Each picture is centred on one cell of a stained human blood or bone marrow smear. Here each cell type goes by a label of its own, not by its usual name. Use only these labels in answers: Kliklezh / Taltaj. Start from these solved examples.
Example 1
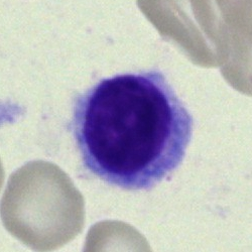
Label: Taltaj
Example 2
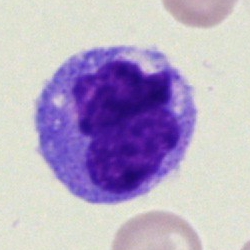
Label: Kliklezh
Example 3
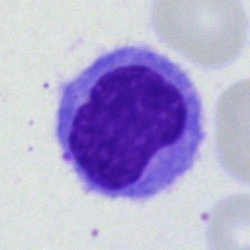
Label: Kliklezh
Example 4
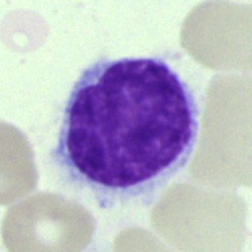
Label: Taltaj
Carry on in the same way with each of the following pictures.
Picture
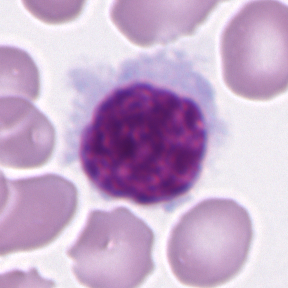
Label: Taltaj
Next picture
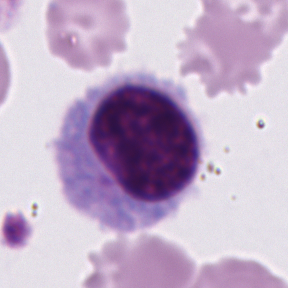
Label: Taltaj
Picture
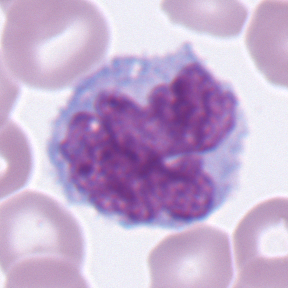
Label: Kliklezh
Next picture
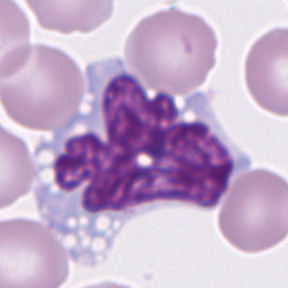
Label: Kliklezh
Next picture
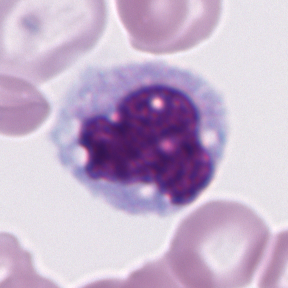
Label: Kliklezh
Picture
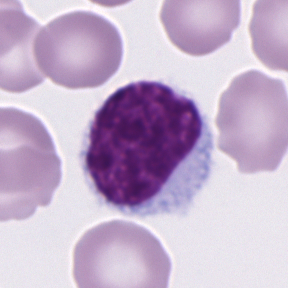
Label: Taltaj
